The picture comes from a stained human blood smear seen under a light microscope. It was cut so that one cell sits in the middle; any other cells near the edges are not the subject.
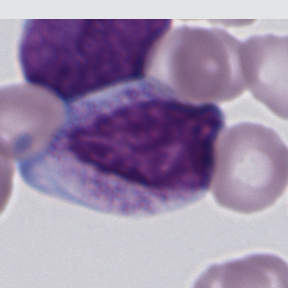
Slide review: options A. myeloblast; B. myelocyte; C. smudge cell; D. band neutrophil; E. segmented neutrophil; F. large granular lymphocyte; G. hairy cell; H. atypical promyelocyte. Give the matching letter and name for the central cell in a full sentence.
Option B is accurate; the centrally placed cell is a myelocyte.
